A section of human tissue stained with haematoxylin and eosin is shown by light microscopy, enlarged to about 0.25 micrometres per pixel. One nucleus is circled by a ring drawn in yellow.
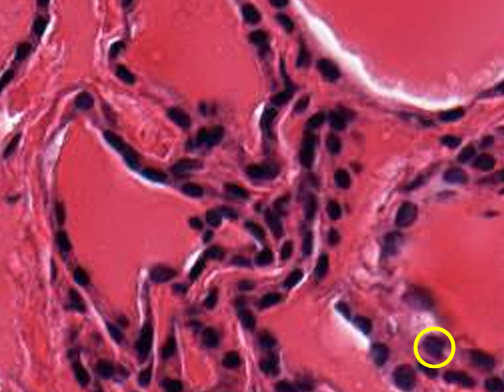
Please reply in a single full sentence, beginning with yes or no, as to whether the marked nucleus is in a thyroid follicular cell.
Yes, in this field of view the marked nucleus belongs to a thyroid follicular cell.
